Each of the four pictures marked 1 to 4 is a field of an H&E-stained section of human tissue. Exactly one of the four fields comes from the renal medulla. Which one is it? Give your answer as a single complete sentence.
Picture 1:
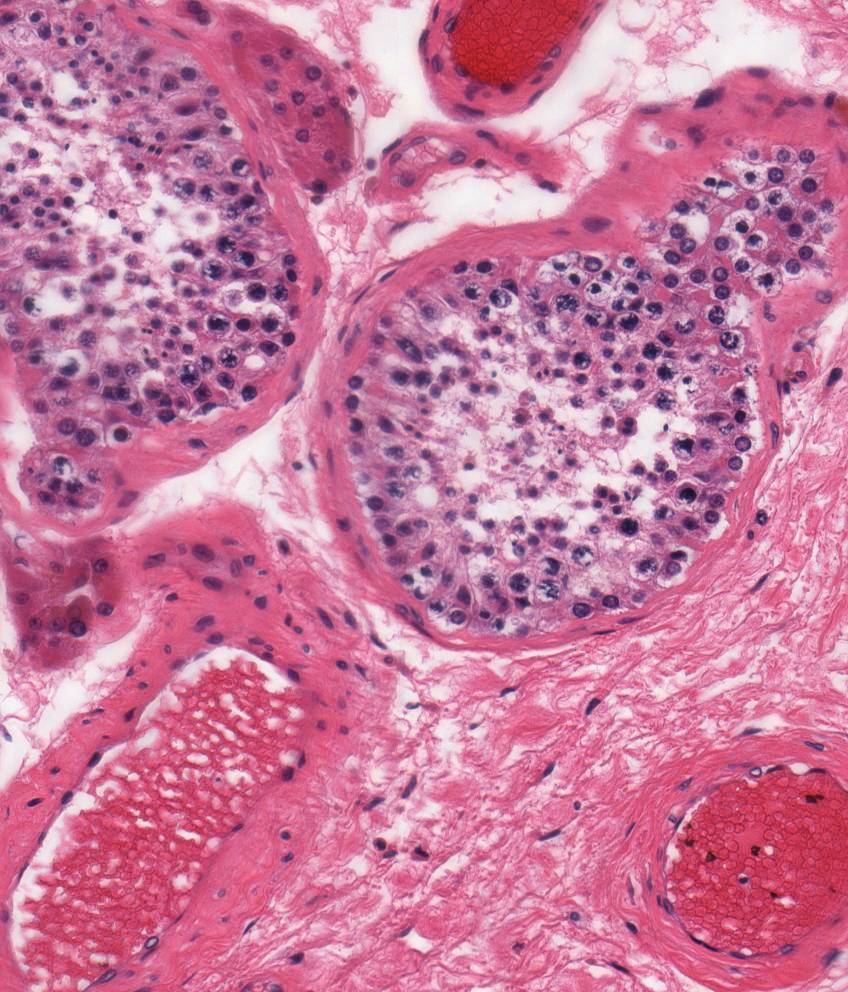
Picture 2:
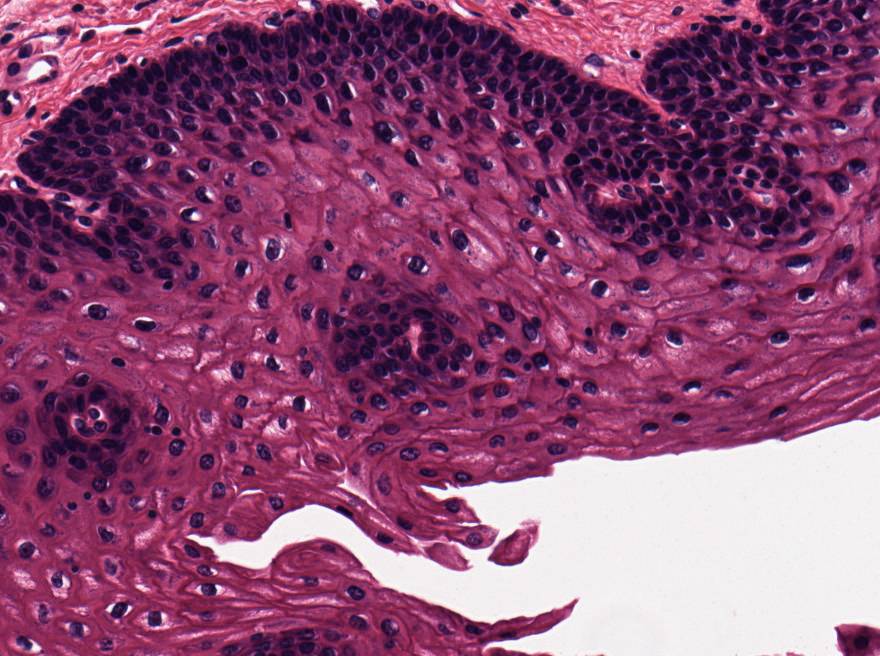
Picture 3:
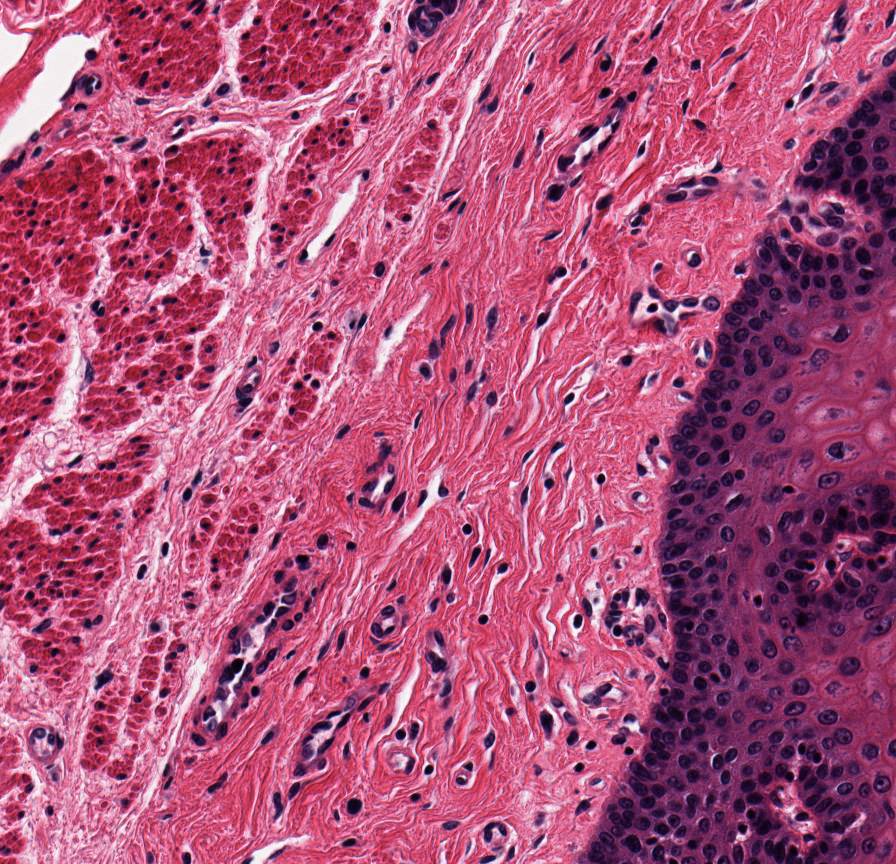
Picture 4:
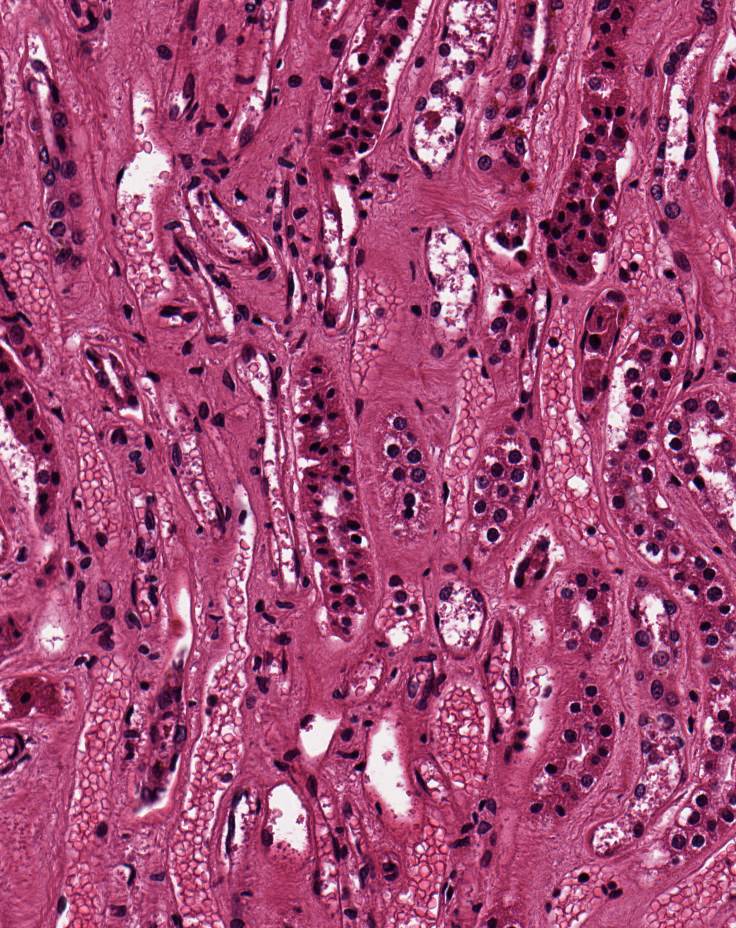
It is picture 4 that comes from the renal medulla.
